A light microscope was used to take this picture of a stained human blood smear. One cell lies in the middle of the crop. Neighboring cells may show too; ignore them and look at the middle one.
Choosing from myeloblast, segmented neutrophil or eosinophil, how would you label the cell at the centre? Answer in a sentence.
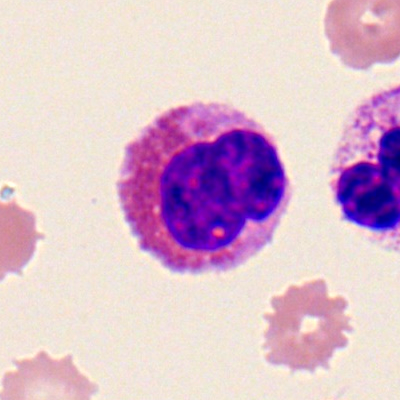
The cell around which this crop is centred is an eosinophil.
